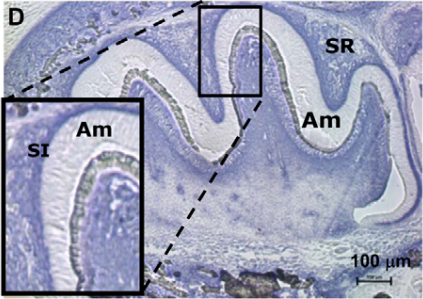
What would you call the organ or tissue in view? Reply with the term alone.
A: Molar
